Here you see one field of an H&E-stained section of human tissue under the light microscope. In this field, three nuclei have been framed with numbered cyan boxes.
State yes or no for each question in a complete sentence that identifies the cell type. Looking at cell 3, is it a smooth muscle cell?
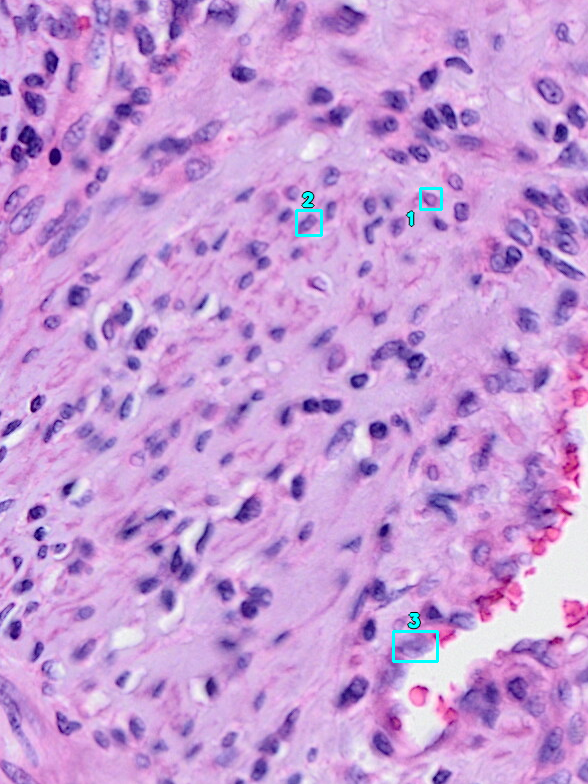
No, cell 3 is not a smooth muscle cell; an endothelial cell is correct.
